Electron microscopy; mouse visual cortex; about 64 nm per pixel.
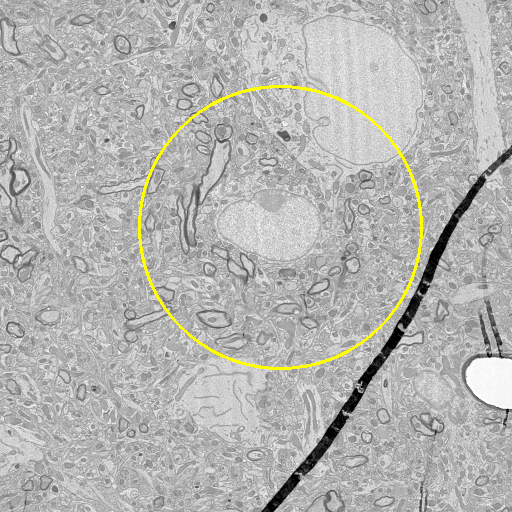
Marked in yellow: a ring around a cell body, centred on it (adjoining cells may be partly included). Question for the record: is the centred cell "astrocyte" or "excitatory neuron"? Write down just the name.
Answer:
astrocyte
